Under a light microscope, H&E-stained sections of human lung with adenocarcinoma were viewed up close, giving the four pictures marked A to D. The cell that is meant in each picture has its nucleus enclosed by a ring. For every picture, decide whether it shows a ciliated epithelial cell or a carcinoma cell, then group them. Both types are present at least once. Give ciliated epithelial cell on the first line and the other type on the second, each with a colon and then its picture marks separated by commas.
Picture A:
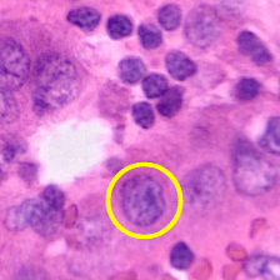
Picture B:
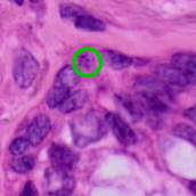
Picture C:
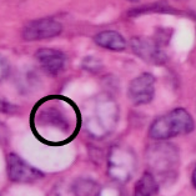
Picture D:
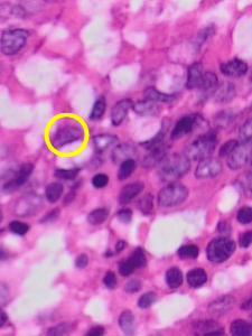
ciliated epithelial cell: B, C, D
carcinoma cell: A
